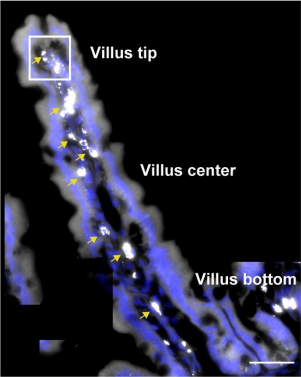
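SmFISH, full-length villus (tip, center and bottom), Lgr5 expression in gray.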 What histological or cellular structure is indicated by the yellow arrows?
Autofluorescent blobs.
